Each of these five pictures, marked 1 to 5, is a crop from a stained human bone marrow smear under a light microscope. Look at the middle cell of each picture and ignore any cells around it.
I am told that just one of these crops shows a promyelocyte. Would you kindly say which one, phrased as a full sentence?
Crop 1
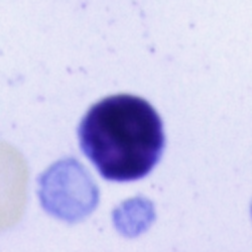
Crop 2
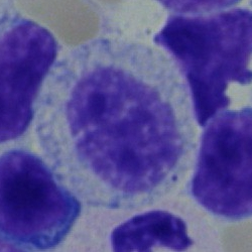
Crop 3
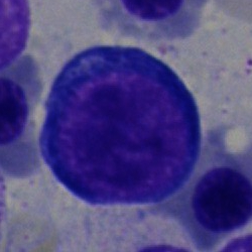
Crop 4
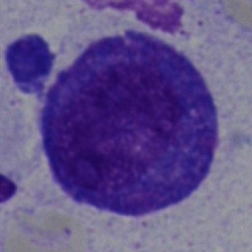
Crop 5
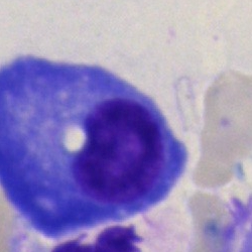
Crop 4 is where a promyelocyte is to be found.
